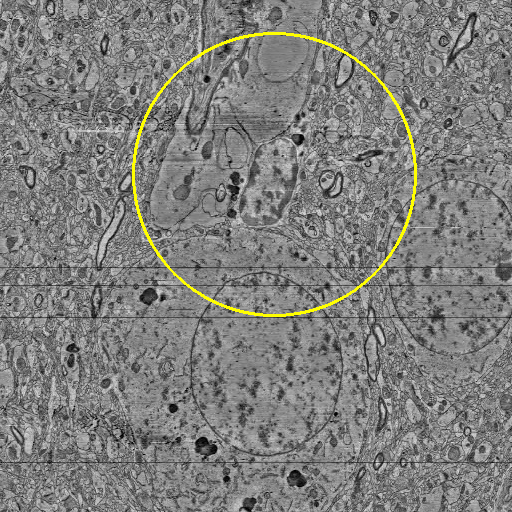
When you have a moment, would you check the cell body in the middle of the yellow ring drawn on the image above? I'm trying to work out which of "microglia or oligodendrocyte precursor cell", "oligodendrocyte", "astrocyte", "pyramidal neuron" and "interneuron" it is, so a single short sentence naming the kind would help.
This cell body belongs to a microglial cell or oligodendrocyte precursor cell.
